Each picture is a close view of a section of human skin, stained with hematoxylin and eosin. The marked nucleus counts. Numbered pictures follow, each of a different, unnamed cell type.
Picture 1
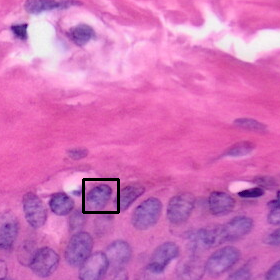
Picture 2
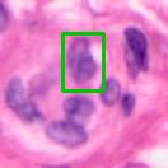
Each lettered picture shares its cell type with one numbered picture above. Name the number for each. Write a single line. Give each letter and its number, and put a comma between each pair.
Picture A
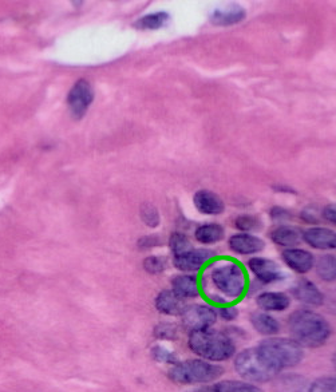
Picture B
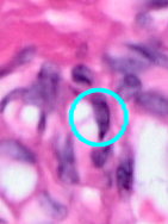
A 1, B 2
